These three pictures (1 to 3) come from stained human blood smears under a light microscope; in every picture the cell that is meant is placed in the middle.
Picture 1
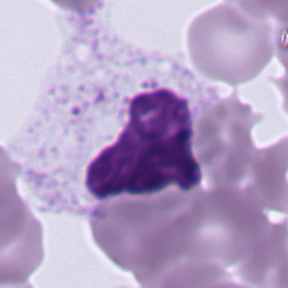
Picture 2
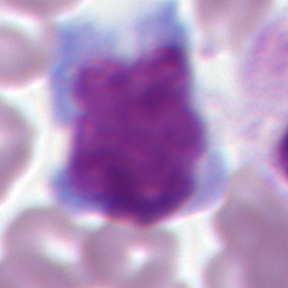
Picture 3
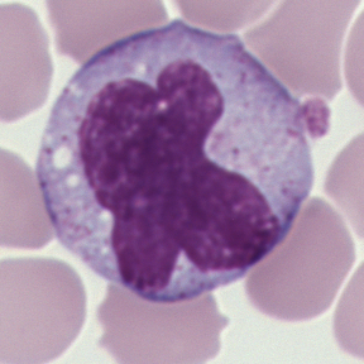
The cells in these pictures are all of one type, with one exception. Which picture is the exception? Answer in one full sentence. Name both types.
All pictures except 1 show monocytes; picture 1 shows a segmented neutrophil.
